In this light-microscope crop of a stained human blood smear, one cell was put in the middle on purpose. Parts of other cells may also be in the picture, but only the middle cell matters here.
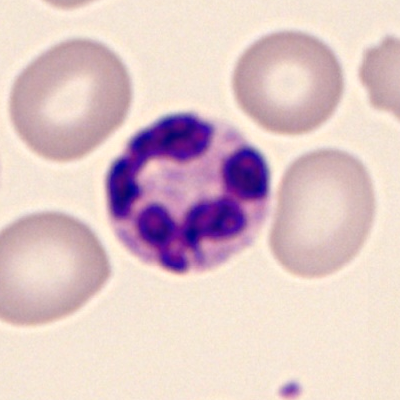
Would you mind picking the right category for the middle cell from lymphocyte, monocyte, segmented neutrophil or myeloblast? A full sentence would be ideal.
The cell centered in this field of view is a segmented neutrophil.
